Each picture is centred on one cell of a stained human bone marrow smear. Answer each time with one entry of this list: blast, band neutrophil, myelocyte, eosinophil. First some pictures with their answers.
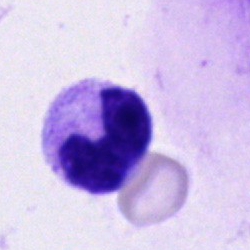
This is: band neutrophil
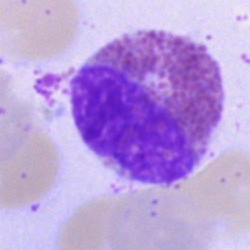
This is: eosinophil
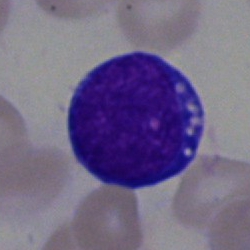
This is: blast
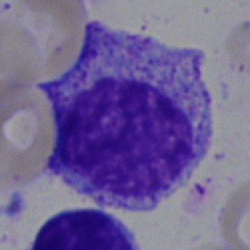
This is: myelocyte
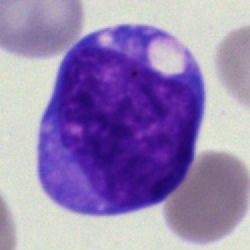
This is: blast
